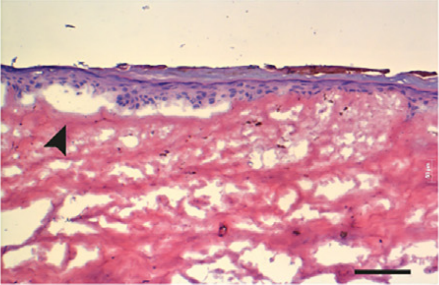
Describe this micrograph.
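A layered epidermis sits on a pink fibrous dermal matrix, with purple-nucleated basal cells at its base and a pale lilac cornified layer at the surface. Beneath the basal layer, wide empty clefts lift the epidermis off the matrix, forming blisters.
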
